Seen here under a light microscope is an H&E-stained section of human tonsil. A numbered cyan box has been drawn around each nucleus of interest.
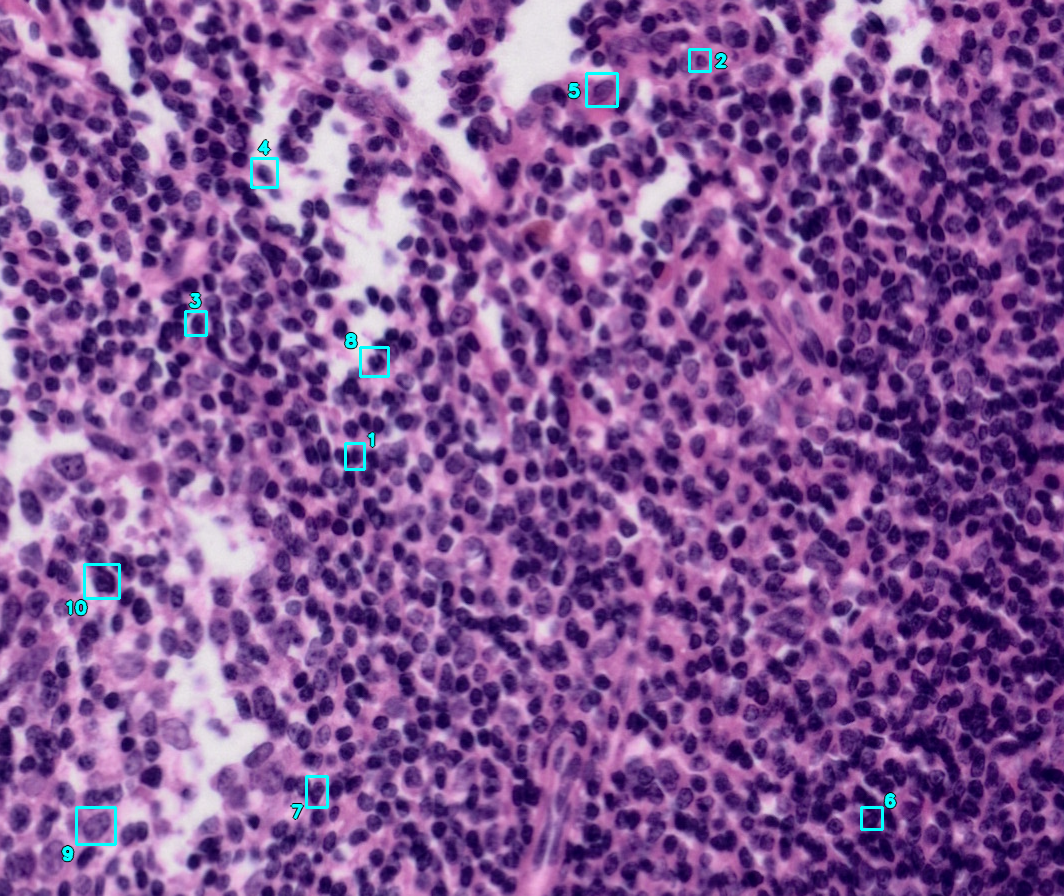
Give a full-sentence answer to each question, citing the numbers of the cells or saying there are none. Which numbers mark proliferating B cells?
Marked by the numbers 9 and 10 are cells that are proliferating B cells.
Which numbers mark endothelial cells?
Within this tissue, the cells numbered 2 and 5 are endothelial cells.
